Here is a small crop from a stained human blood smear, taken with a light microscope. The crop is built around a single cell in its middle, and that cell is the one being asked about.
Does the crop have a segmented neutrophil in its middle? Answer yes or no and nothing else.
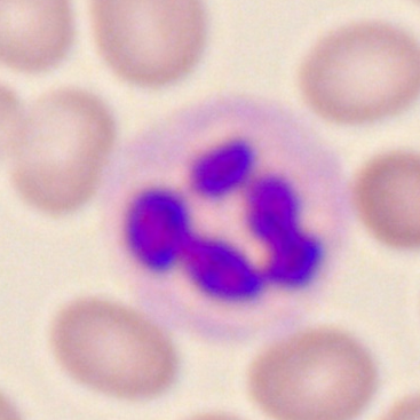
yes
